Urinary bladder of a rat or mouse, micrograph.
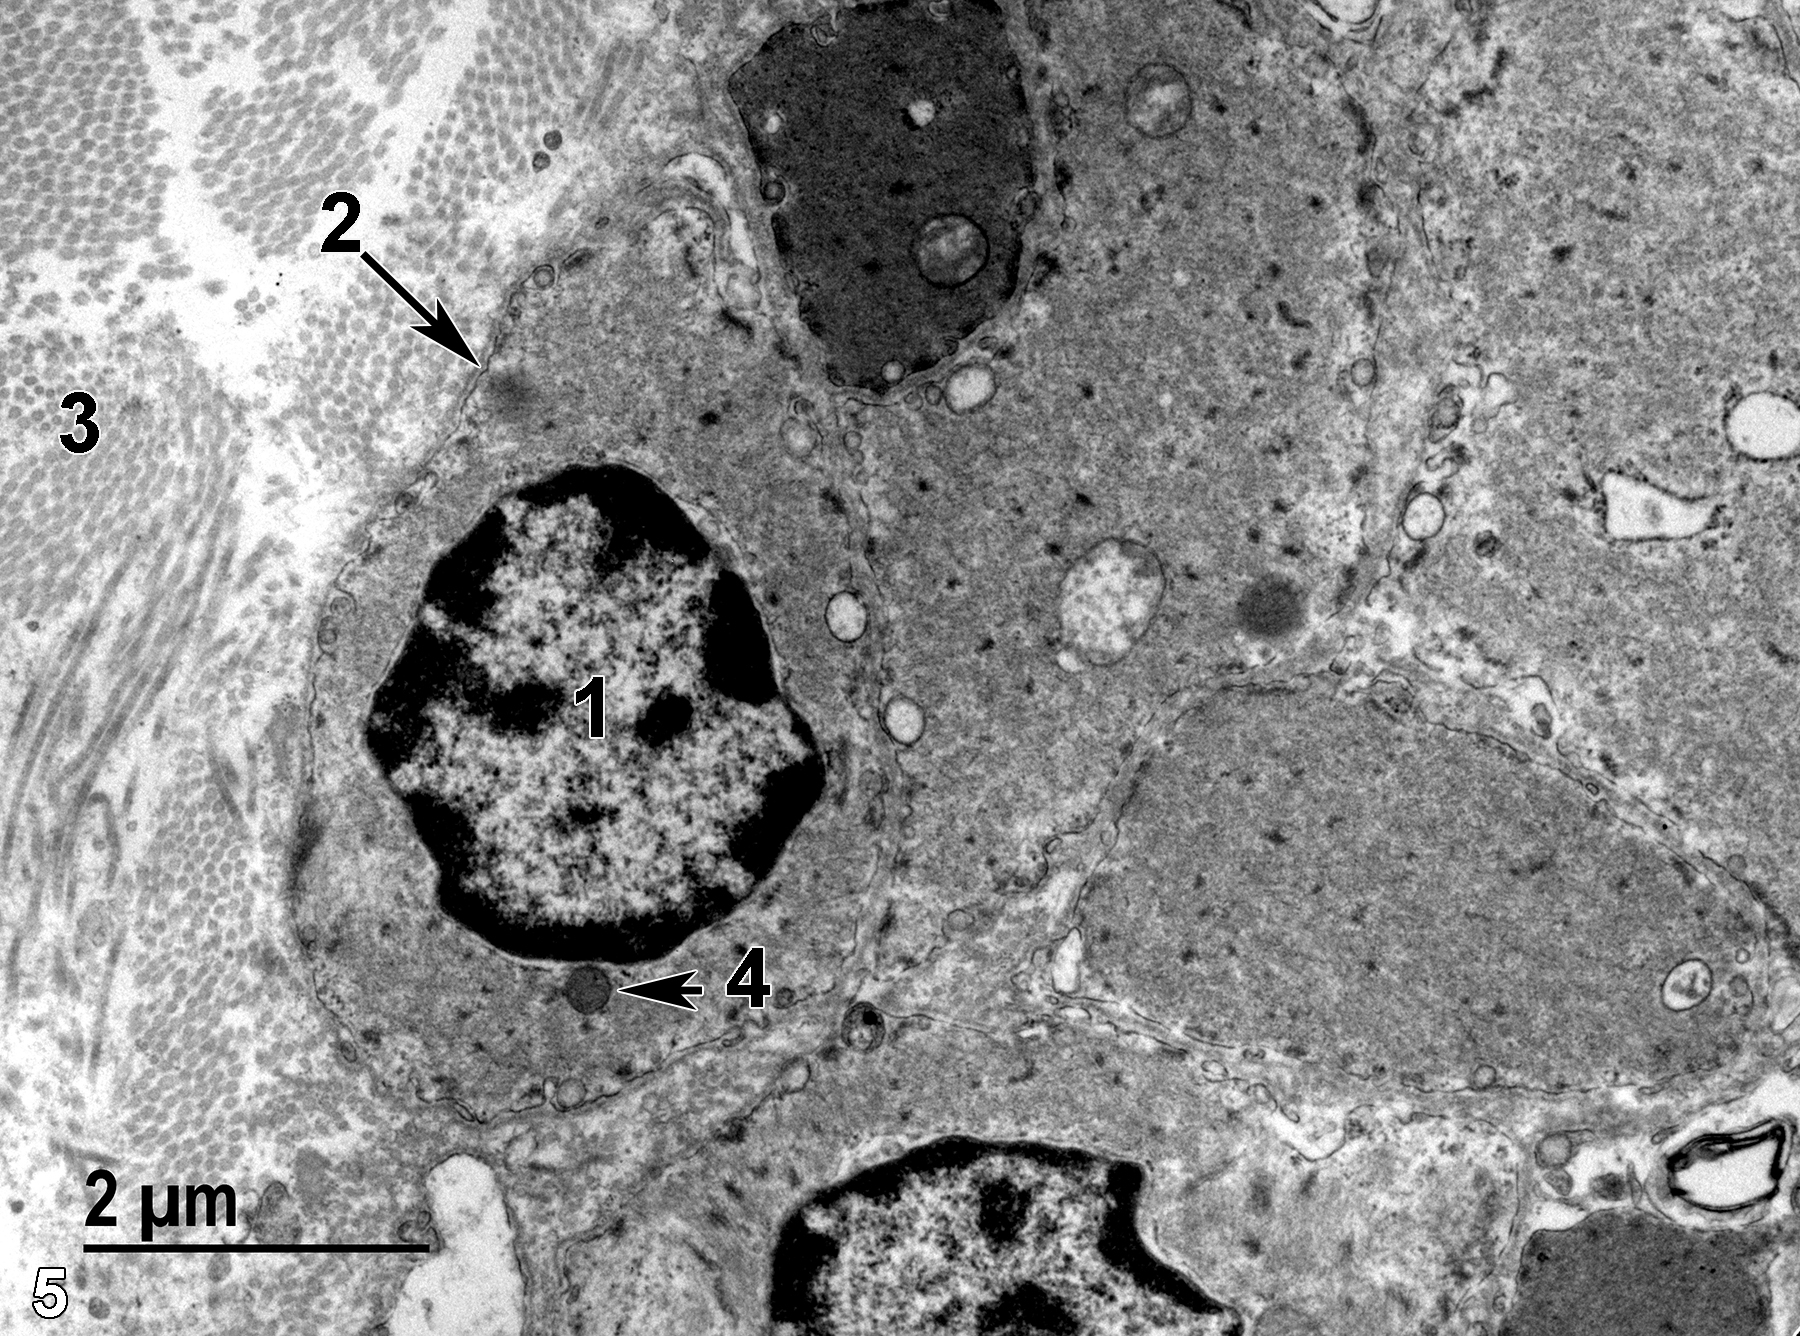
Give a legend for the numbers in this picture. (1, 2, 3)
1: nucleus
2: basal lamina
3: collagen fibrils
